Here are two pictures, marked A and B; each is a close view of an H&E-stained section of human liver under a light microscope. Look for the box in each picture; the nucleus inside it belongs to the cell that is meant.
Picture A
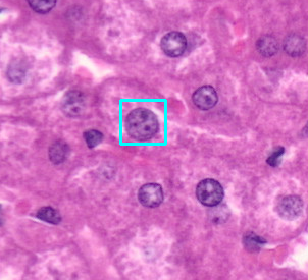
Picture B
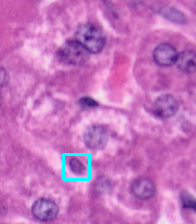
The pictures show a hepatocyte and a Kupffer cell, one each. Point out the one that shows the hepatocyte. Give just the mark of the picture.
A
